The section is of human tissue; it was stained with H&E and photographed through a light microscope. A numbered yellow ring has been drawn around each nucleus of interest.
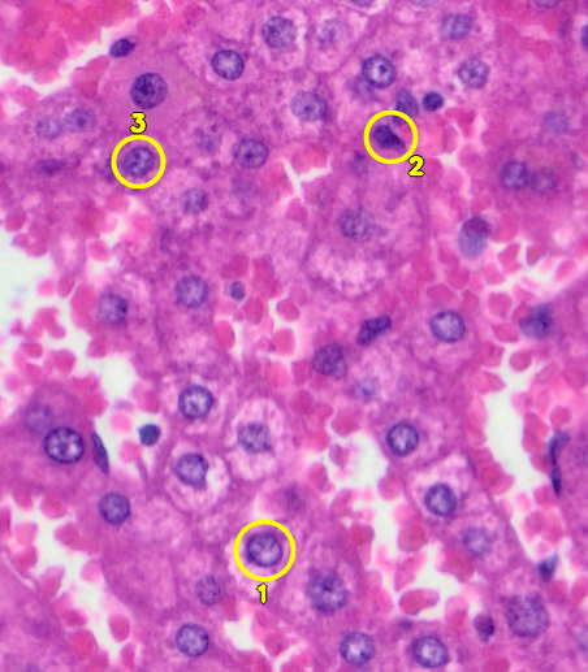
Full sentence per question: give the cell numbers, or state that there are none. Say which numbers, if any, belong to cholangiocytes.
None of the numbered cells are cholangiocytes.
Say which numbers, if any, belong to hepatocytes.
The cells numbered 1 and 3 fall into the category of hepatocytes.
